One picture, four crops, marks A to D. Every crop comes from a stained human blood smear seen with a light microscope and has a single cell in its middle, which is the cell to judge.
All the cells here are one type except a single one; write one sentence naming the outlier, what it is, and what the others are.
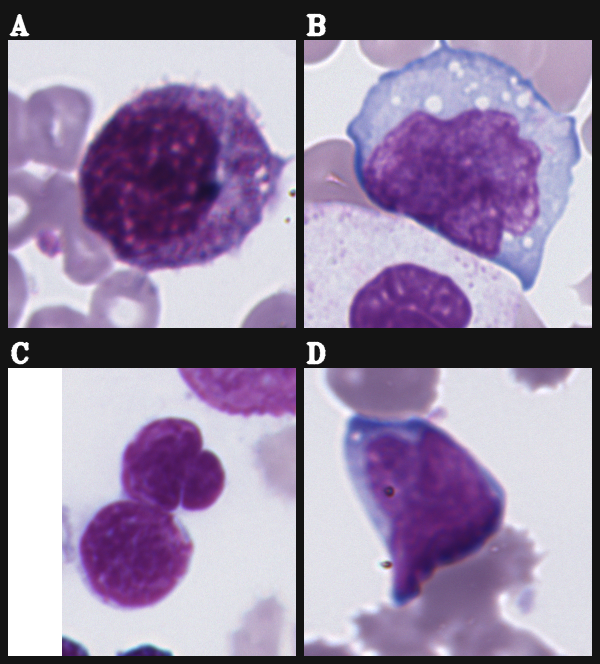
Crop A is not like the others: it is a promyelocyte, and they are myeloblasts.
